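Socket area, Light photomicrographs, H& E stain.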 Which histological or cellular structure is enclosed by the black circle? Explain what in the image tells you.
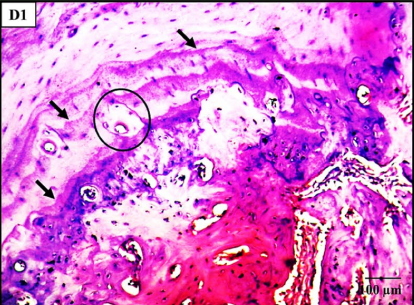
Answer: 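A round canal is encircled by concentric matrix. It lies within pink-stained bone. On this evidence: osteons.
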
